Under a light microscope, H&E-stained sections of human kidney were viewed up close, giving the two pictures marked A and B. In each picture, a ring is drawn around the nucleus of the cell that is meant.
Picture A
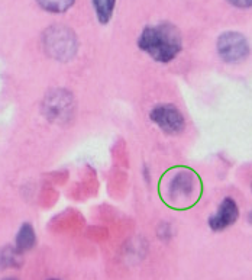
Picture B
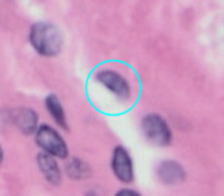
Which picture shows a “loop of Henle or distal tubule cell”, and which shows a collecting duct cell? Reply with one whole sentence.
Picture A shows a “loop of Henle or distal tubule cell” and picture B shows a collecting duct cell.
